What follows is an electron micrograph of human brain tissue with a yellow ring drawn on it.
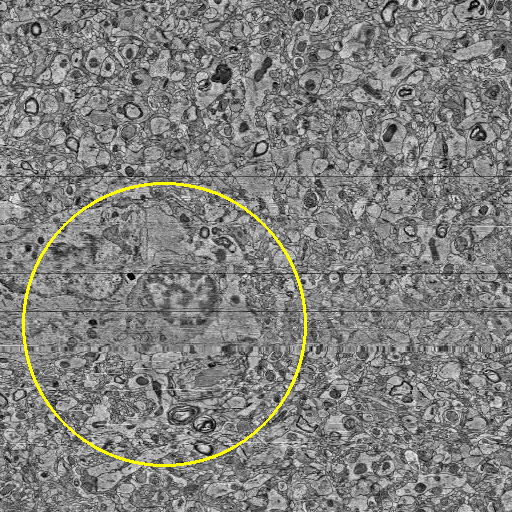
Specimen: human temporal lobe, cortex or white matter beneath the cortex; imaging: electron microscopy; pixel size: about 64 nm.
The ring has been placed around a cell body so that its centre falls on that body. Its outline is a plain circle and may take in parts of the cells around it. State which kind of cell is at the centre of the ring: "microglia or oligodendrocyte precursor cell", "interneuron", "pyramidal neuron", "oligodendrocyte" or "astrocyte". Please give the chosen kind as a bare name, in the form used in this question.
oligodendrocyte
